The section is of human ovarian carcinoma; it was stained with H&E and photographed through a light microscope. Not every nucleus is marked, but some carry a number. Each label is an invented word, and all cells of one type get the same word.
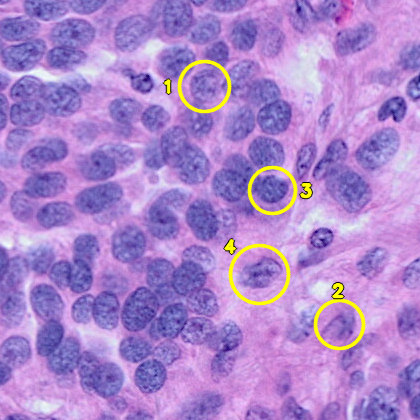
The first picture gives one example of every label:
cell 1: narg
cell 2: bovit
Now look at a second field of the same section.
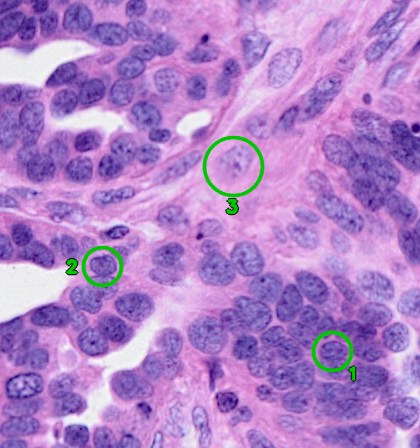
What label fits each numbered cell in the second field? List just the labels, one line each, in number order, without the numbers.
narg
narg
bovit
